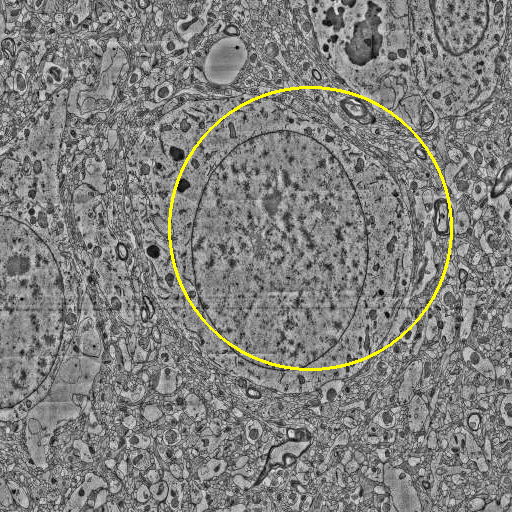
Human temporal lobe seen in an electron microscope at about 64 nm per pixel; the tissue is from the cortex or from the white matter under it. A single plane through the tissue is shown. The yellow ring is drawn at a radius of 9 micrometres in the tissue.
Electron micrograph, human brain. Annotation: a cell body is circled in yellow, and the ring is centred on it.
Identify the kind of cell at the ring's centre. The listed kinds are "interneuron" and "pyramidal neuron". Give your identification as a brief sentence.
The circled cell body is that of a pyramidal neuron.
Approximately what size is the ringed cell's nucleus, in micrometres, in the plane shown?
In this plane, the nucleus of the cell at the centre of the ring measures about 15 by 11 micrometres.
